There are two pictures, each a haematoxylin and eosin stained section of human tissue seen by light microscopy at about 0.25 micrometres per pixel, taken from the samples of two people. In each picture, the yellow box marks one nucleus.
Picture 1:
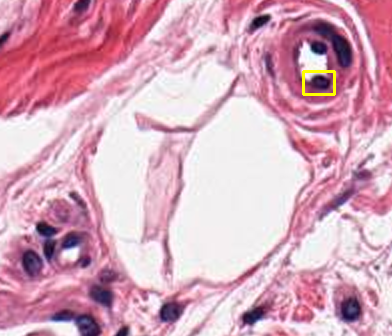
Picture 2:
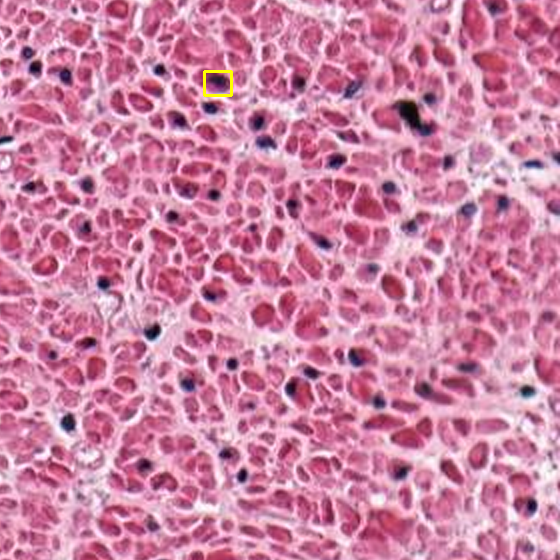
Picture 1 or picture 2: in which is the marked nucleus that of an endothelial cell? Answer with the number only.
1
